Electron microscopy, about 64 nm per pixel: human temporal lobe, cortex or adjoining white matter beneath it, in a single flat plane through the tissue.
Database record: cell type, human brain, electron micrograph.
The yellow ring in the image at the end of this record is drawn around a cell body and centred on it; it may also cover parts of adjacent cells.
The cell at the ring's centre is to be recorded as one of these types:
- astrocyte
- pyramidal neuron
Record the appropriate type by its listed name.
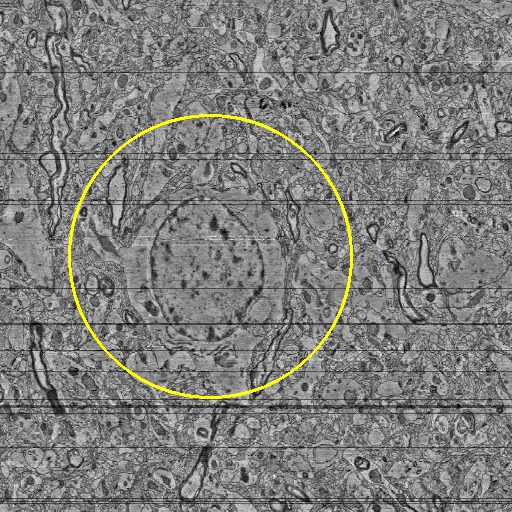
astrocyte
